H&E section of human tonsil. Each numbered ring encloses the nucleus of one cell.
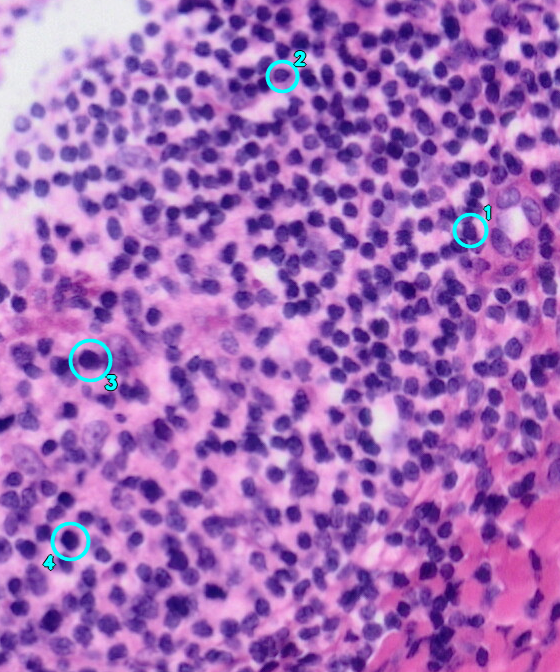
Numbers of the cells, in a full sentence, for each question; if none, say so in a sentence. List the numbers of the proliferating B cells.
Cells numbered 3 and 4 belong to the group of proliferating B cells.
